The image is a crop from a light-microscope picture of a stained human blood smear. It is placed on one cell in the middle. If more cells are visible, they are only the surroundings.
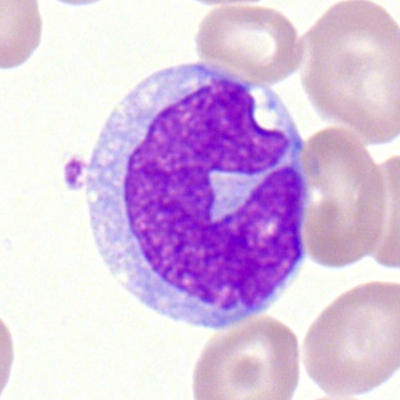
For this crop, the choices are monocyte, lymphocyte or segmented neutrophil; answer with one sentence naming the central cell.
The crop's centre is taken up by a monocyte.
